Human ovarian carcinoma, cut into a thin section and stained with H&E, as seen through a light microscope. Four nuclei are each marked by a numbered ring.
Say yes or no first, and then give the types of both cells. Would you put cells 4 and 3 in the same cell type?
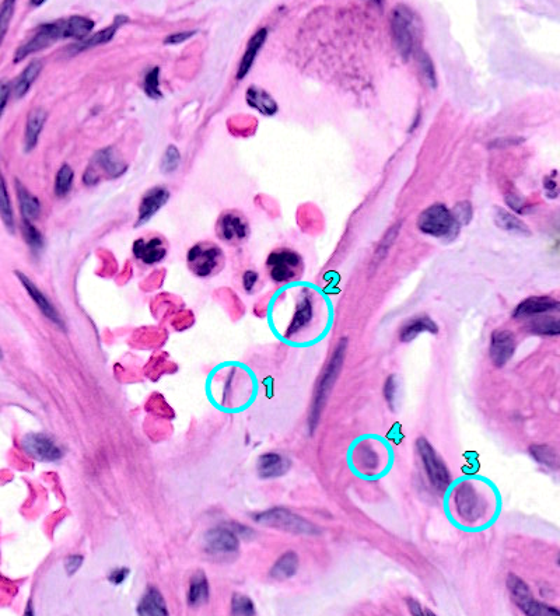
No, an endothelial cell is what cell 3 is, while cell 4 is a smooth muscle cell.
